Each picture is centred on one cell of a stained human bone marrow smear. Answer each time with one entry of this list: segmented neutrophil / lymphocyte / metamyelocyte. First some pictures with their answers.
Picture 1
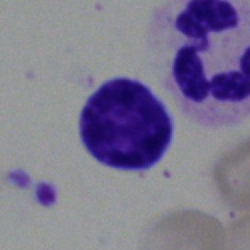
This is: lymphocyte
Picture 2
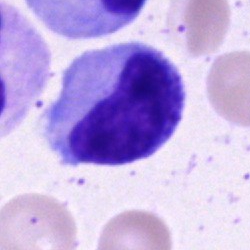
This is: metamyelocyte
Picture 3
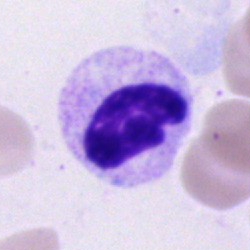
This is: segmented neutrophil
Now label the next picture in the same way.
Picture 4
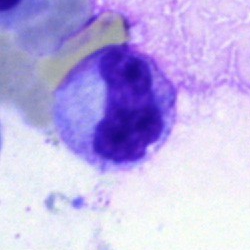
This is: metamyelocyte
